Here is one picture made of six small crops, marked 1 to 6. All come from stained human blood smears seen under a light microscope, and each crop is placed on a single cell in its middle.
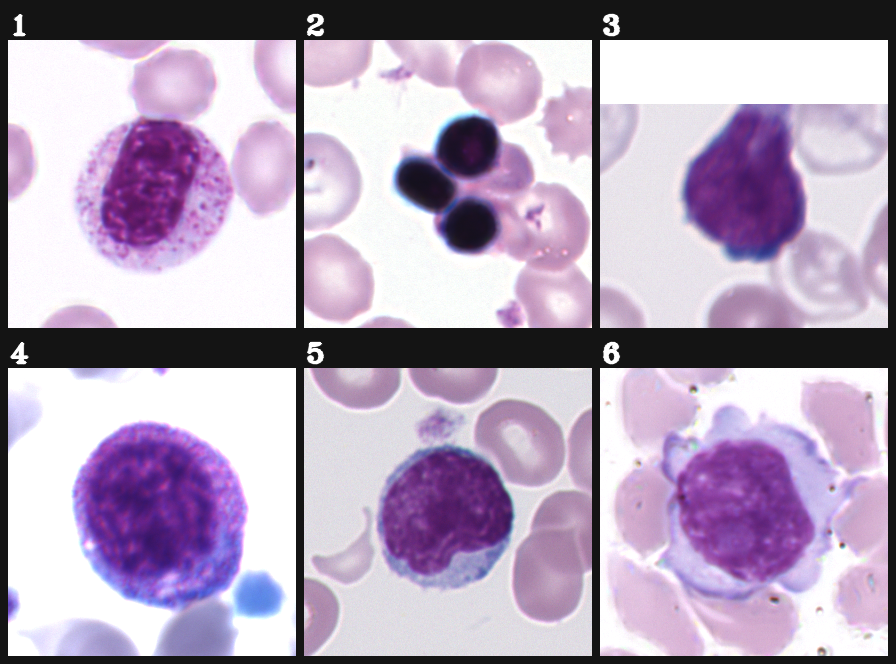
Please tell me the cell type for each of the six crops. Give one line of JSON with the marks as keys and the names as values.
{"1": "metamyelocyte", "2": "normoblast", "3": "myeloblast", "4": "promyelocyte", "5": "monocyte", "6": "plasma cell"}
